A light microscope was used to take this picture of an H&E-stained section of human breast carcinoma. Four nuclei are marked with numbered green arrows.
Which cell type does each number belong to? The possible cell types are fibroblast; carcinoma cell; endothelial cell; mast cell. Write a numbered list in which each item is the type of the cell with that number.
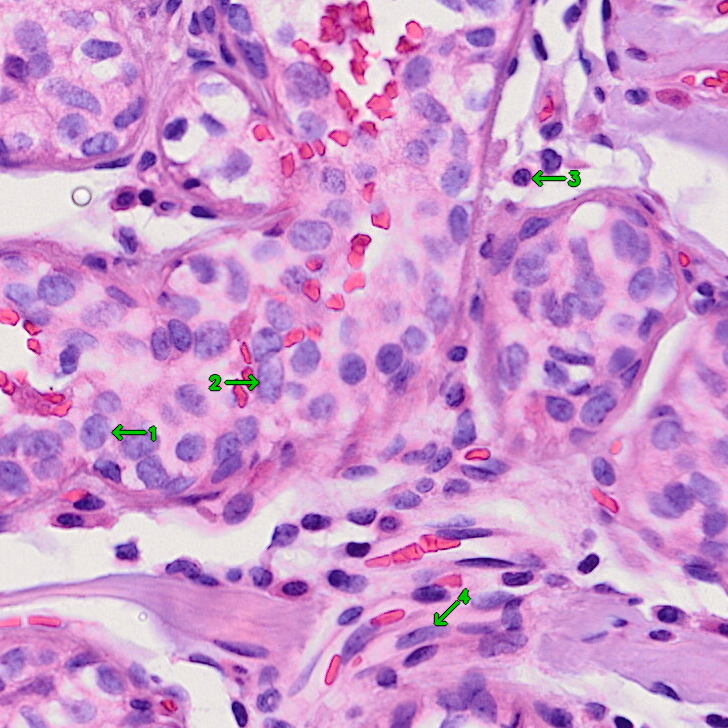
1. carcinoma cell
2. carcinoma cell
3. mast cell
4. endothelial cell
